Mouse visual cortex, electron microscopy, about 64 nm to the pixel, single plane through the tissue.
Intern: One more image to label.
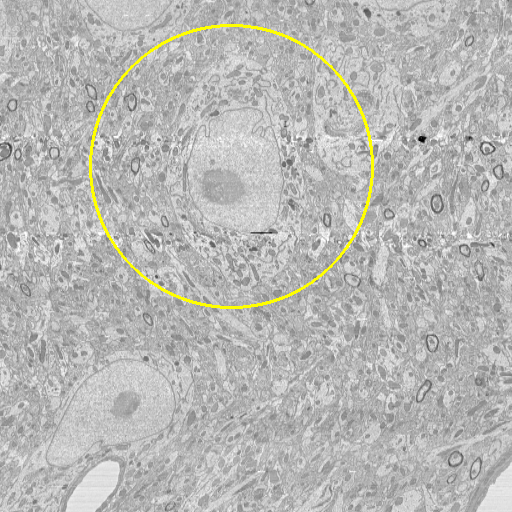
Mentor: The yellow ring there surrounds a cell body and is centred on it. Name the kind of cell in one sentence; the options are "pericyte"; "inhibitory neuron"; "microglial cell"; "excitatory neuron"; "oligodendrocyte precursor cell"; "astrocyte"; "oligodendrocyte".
The ring marks the cell body of an inhibitory neuron.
